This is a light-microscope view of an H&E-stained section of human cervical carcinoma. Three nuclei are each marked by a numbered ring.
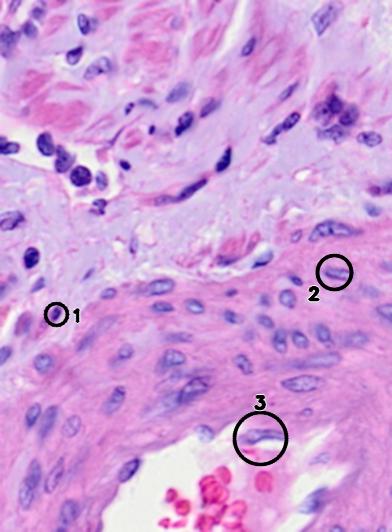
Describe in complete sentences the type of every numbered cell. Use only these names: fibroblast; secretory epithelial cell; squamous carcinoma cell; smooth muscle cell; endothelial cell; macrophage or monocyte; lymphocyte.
Cells 1 and 2 are smooth muscle cells. Cell 3 is an endothelial cell.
